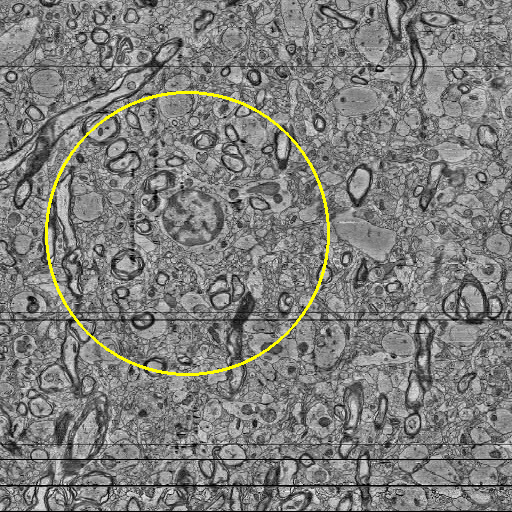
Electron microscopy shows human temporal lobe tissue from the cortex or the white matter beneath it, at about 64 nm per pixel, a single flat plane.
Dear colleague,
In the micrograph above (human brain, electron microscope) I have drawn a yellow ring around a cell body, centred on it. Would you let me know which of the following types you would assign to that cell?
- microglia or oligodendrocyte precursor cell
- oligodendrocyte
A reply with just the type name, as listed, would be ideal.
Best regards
microglia or oligodendrocyte precursor cell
